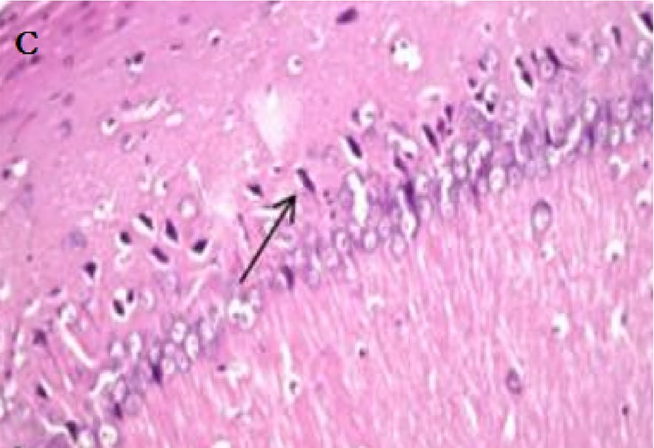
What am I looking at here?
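A curved band of closely packed neuronal cell bodies runs diagonally across the field, with pale pink, finely fibrillar neuropil on both sides. Many of the cells in the band sit within clear, empty-looking halos around their nuclei, giving the layer a vacuolated appearance. Scattered among them are shrunken, dark, elongated nuclei that stain intensely purple. A few small scattered cells and clear spaces lie in the neuropil away from the band.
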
